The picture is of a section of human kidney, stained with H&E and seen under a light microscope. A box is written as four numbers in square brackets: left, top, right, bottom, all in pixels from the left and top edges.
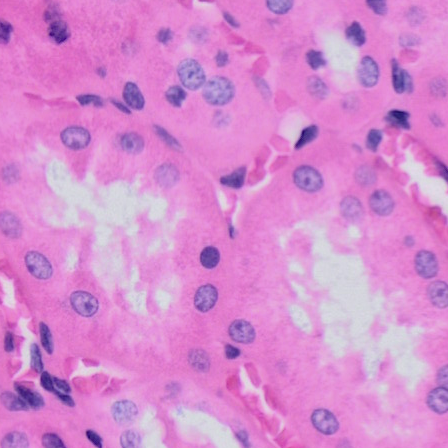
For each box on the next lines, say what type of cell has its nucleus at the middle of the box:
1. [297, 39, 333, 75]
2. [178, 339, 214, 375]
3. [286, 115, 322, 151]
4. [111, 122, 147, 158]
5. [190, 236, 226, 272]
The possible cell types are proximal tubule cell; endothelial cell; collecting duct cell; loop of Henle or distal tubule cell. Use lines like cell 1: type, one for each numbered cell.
cell 1: loop of Henle or distal tubule cell
cell 2: proximal tubule cell
cell 3: endothelial cell
cell 4: proximal tubule cell
cell 5: proximal tubule cell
